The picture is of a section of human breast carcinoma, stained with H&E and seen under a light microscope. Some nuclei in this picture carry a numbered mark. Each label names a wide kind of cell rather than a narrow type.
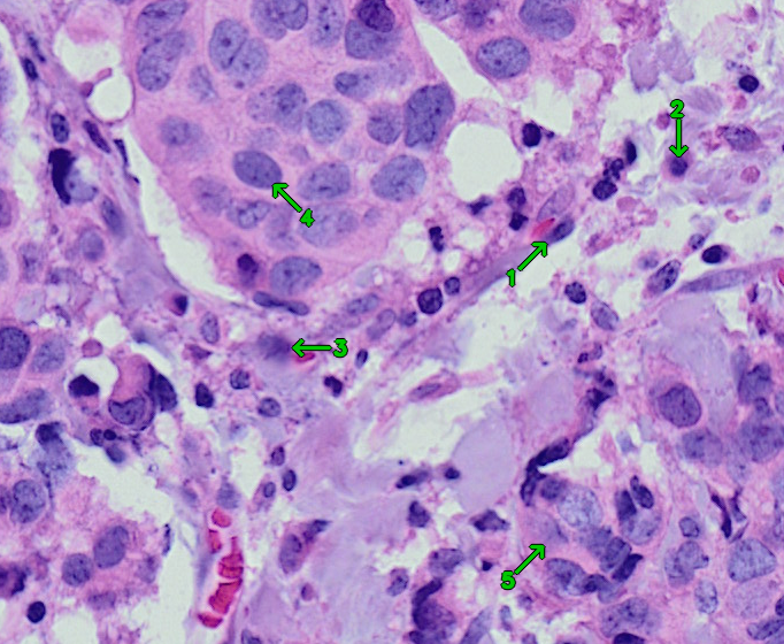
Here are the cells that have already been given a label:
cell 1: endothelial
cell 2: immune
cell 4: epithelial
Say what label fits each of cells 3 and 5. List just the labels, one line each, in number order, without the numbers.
endothelial
epithelial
